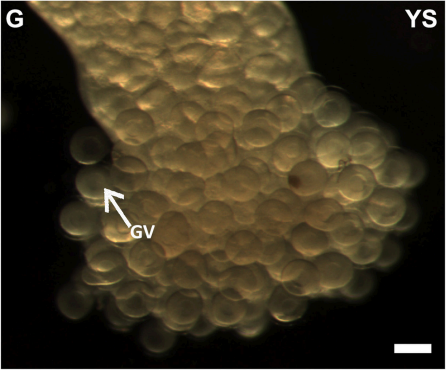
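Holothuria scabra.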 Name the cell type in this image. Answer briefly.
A: oocyte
